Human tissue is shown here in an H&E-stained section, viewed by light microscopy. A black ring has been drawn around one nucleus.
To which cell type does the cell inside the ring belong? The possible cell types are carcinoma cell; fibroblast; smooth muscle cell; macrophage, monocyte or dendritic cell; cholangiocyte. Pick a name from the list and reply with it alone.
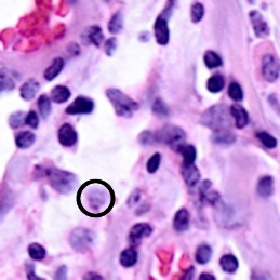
macrophage, monocyte or dendritic cell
